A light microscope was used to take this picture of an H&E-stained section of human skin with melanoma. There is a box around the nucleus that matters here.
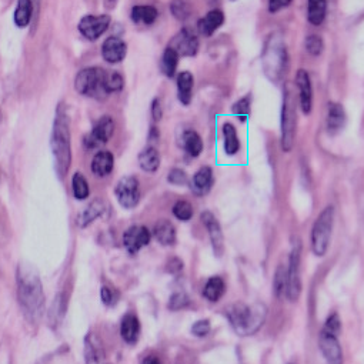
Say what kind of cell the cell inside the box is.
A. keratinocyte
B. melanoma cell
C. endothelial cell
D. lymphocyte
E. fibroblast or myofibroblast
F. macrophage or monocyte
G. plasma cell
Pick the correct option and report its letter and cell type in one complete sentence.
Option D is correct in that the cell inside the box is a lymphocyte.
